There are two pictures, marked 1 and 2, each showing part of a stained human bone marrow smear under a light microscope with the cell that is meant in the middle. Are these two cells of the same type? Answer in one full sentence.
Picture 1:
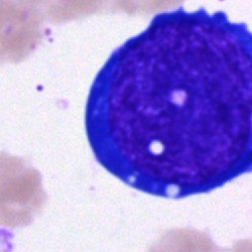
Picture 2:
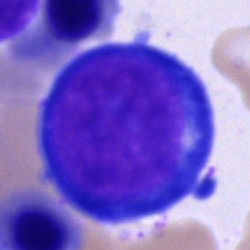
Yes, they are the same type: both are proerythroblasts.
